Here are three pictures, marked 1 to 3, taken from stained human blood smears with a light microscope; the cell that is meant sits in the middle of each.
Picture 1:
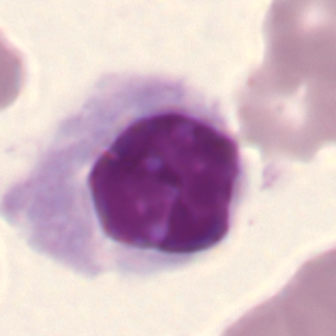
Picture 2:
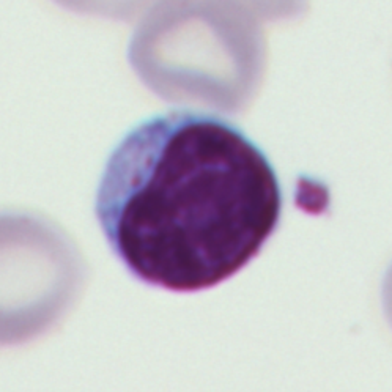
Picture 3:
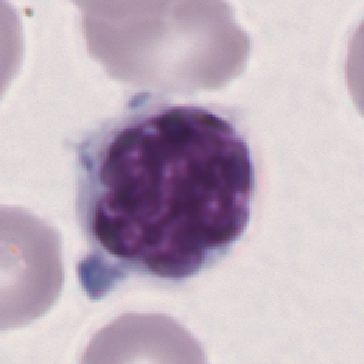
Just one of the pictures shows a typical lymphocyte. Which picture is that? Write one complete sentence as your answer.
It is picture 2 that shows the typical lymphocyte.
